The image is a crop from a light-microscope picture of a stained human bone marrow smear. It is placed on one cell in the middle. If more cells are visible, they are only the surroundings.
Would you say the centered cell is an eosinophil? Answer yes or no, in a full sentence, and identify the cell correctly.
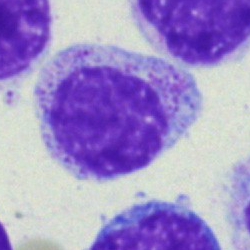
No, the cell placed in the centre is a myelocyte and is not an eosinophil.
